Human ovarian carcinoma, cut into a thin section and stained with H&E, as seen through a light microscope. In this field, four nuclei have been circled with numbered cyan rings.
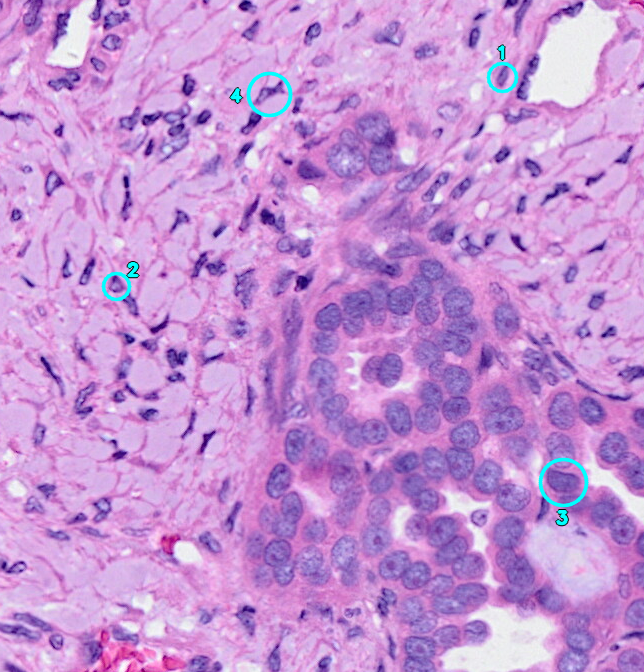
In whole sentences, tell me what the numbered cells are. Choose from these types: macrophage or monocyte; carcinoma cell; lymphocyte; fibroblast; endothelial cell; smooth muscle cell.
Cell 1 is a fibroblast, cell 2 is a fibroblast, cell 3 is a carcinoma cell and cell 4 is a fibroblast.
